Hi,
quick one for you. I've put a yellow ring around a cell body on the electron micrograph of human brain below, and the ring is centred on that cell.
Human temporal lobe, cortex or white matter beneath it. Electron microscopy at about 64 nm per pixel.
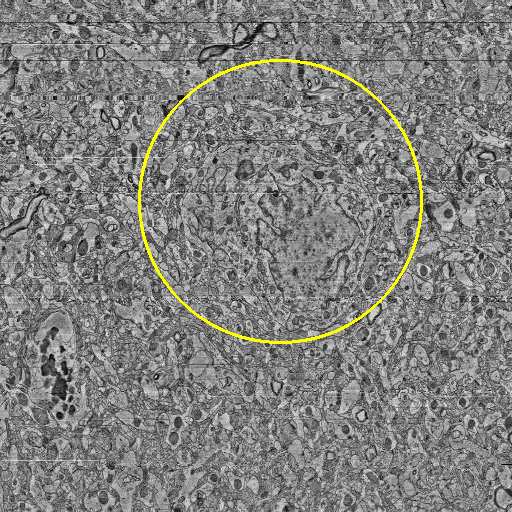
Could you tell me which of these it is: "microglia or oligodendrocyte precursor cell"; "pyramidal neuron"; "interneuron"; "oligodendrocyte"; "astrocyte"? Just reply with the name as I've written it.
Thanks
interneuron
